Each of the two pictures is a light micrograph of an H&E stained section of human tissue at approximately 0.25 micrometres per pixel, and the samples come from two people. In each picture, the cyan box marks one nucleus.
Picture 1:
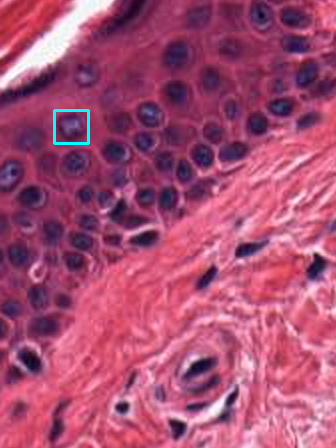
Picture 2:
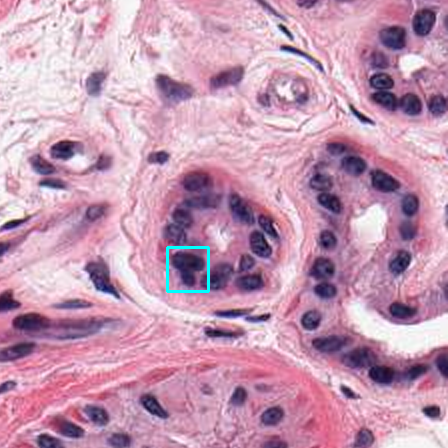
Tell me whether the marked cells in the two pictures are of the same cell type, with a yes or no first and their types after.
No, the first is a keratinocyte and the second a sweat gland cell.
